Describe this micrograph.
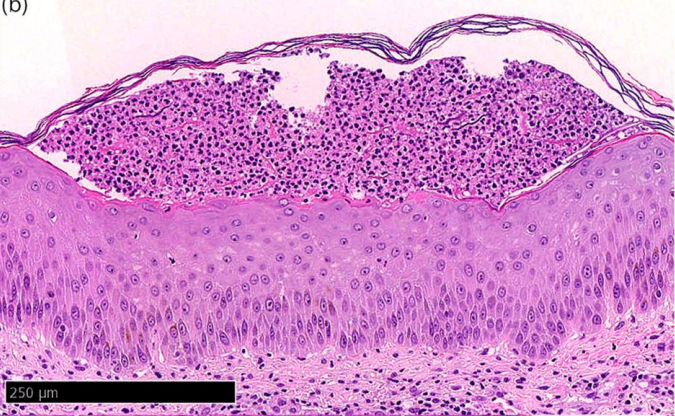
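This is skin, and the striking change is a collection of neutrophils lying just beneath the cornified layer. At the top, thin wavy pink strands of cornified layer form a roof. Under it, packed tightly, are many small cells with dark purple, segmented-looking nuclei and scant pink cytoplasm. This collection rests directly on the living epidermis, whose border with it is sharp. The epidermis itself is somewhat thickened, with orderly layers of pale pink squamous cells with round nuclei, and a row of darker basal cells below. Beneath that lies loose pink dermis with scattered nuclei.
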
